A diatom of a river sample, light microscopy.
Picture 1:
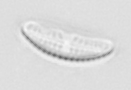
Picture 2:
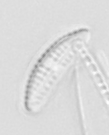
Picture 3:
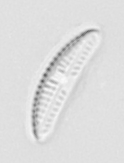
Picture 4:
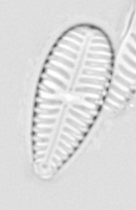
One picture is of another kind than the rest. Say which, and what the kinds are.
Picture 4 shows Gomphonella; the rest show Amphora.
